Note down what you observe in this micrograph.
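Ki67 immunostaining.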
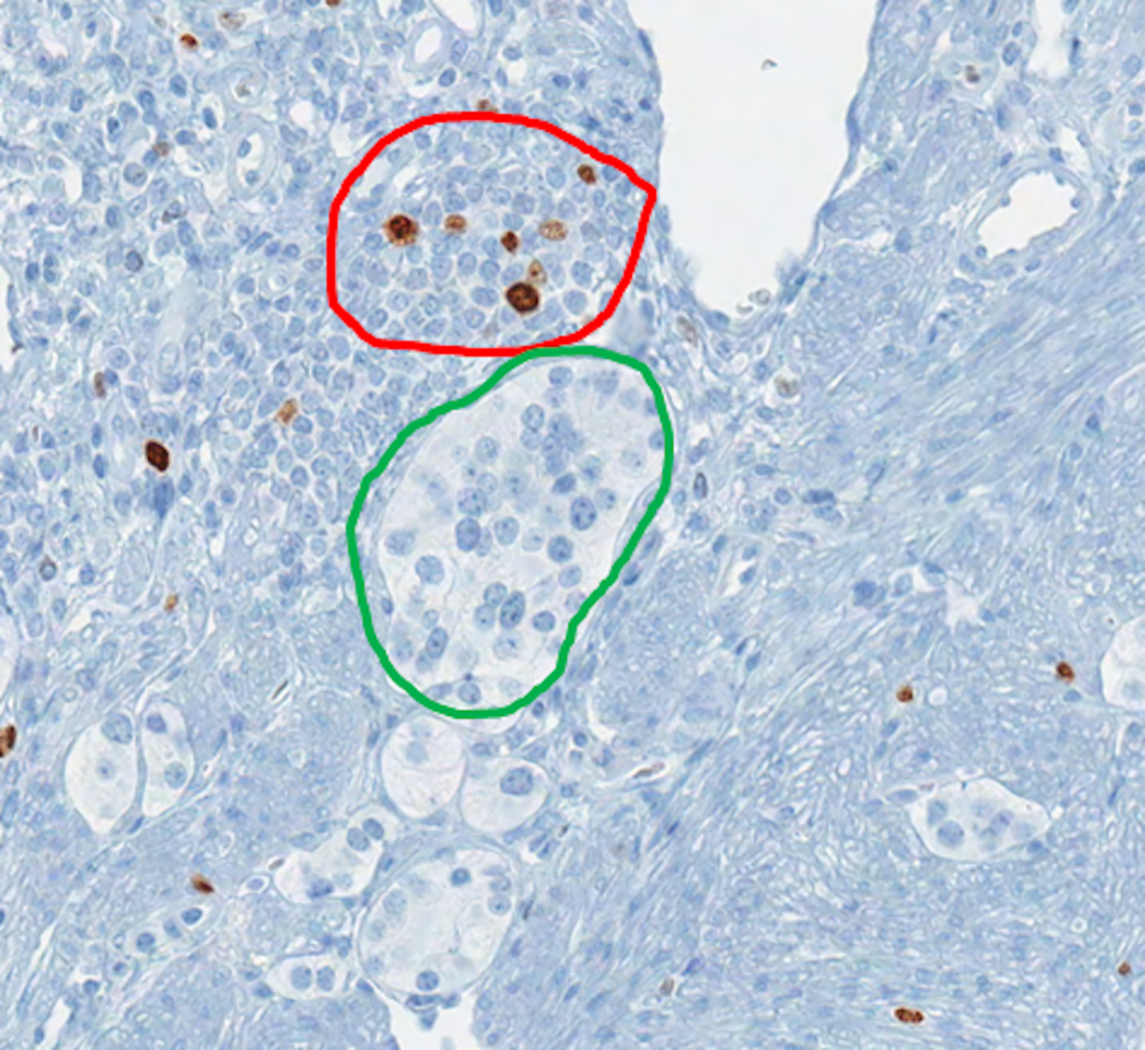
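A nest of fairly large cells with pale, clear cytoplasm and round blue nuclei lies within fibrous stroma of elongated spindle cells, with similar nests scattered nearby. Next to it is a dense sheet of small round cells with scant cytoplasm, a few of whose nuclei are stained dark brown.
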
